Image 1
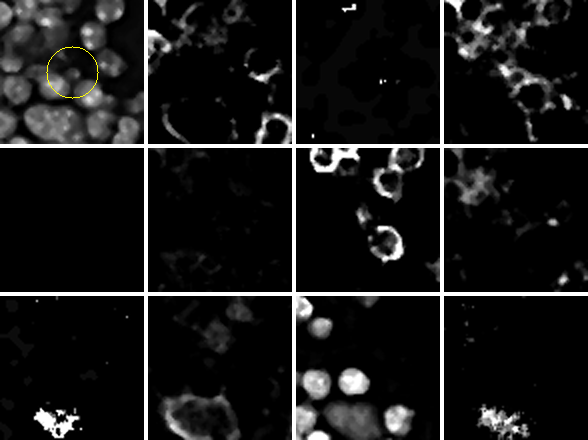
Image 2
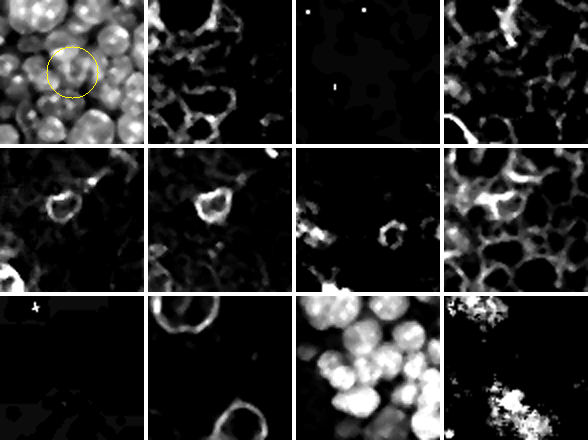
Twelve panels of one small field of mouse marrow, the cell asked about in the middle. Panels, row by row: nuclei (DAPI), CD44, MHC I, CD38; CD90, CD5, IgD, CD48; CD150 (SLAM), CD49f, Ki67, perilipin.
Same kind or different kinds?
Different: the first is a capillary endothelial cell, the second a T cell.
